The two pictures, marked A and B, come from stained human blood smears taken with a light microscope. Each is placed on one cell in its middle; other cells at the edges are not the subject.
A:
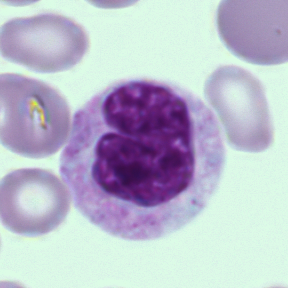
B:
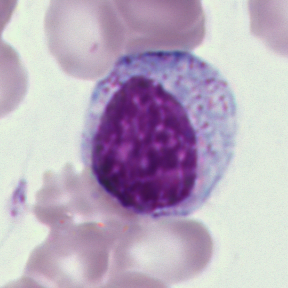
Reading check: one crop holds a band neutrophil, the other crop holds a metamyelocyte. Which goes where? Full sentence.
As for the pair, crop A is a band neutrophil and crop B is a metamyelocyte.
